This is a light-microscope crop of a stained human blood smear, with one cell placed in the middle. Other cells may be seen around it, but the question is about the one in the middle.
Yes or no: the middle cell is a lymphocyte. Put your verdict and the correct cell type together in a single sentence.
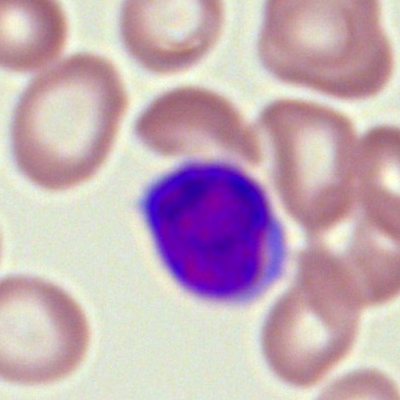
Yes, the cell at the heart of the crop is a lymphocyte.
